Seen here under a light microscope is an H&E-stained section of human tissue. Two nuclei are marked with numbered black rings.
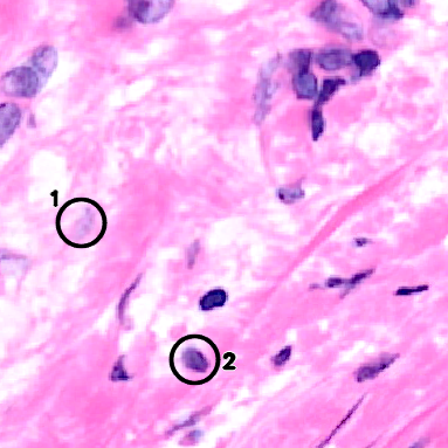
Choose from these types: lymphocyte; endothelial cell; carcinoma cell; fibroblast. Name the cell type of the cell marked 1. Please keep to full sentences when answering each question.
The numbered cell 1 in this field is a fibroblast.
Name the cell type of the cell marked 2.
It is as a lymphocyte that the cell numbered 2 is identified.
